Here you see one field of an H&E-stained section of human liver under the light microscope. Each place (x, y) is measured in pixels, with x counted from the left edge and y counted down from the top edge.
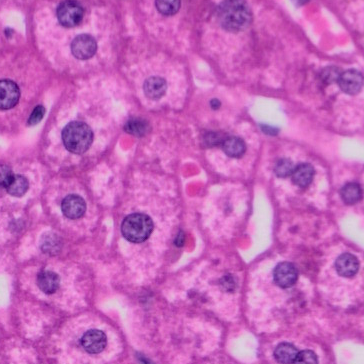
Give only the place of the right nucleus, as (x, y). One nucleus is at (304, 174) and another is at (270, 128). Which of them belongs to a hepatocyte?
(304, 174)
